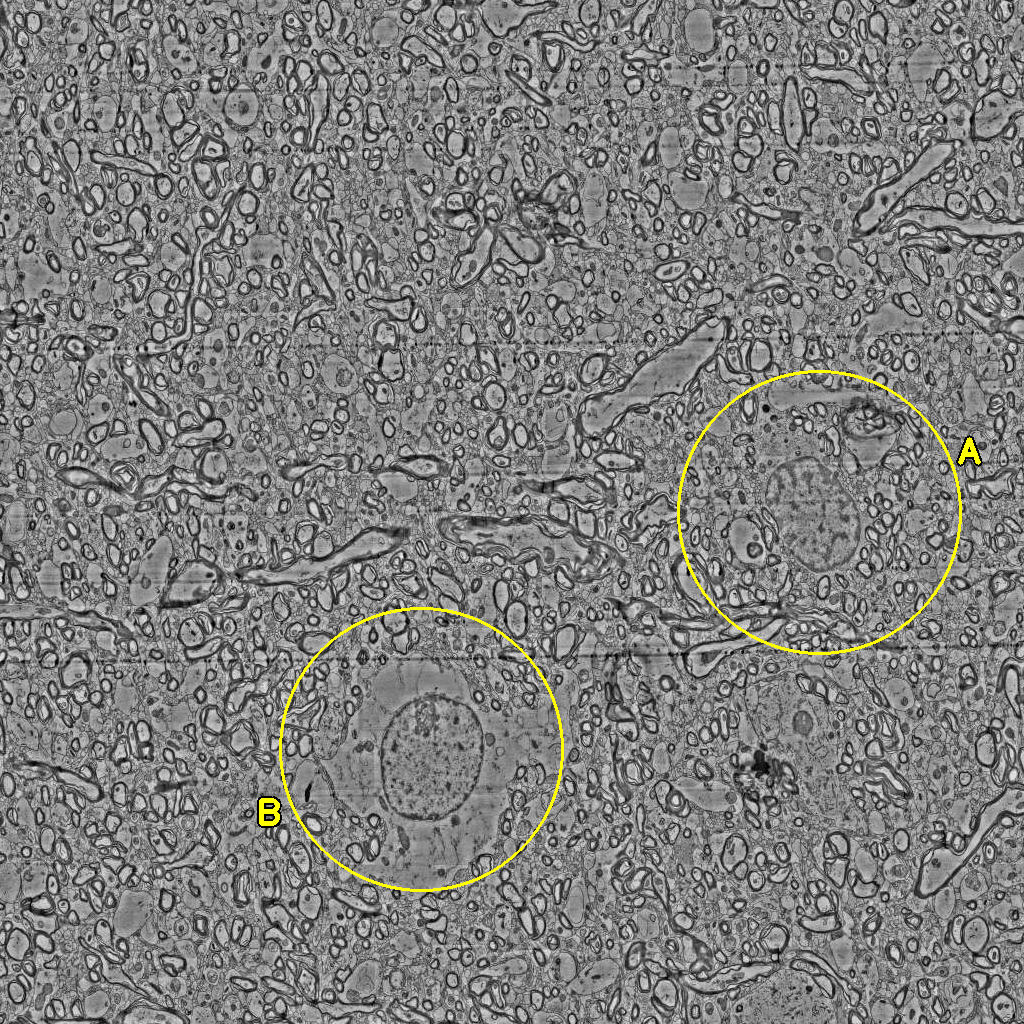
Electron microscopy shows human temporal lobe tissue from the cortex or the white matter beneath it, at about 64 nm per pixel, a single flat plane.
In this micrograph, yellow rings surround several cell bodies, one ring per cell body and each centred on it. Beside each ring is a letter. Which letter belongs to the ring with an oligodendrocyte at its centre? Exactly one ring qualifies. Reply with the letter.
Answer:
A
